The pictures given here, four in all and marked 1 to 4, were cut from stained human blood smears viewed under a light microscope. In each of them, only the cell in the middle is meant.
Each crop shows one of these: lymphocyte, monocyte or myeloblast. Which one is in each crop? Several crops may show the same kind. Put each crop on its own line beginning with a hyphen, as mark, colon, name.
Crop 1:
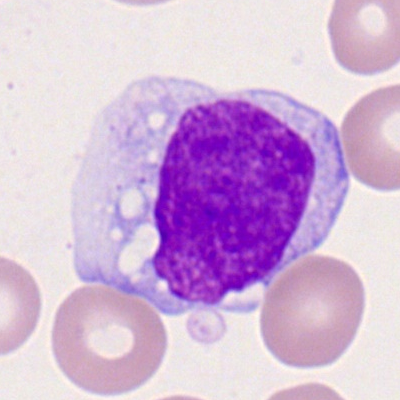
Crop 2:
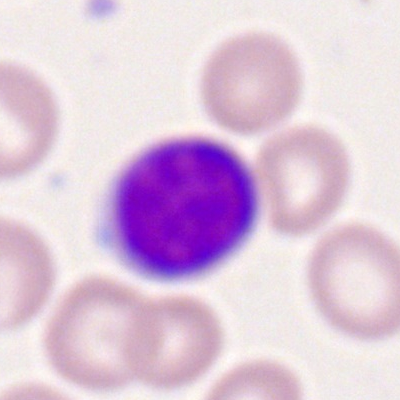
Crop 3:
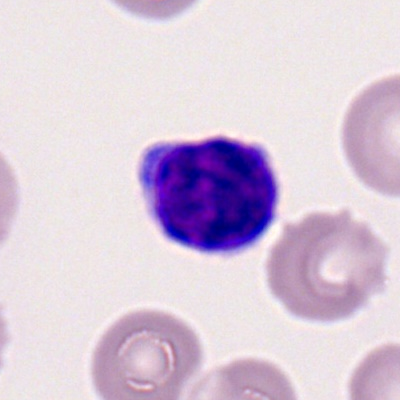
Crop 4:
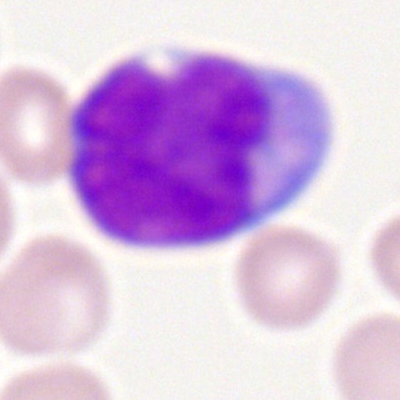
- 1: monocyte
- 2: lymphocyte
- 3: lymphocyte
- 4: myeloblast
